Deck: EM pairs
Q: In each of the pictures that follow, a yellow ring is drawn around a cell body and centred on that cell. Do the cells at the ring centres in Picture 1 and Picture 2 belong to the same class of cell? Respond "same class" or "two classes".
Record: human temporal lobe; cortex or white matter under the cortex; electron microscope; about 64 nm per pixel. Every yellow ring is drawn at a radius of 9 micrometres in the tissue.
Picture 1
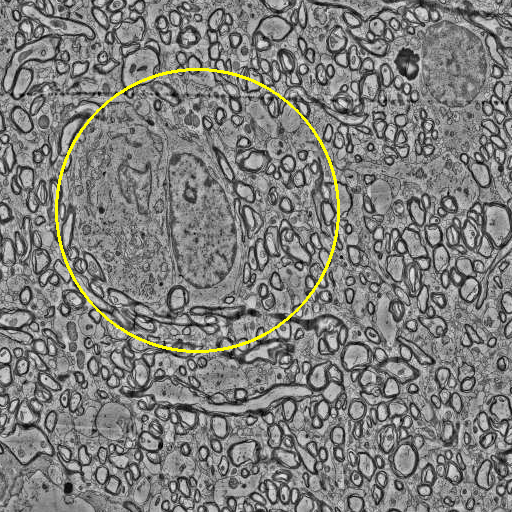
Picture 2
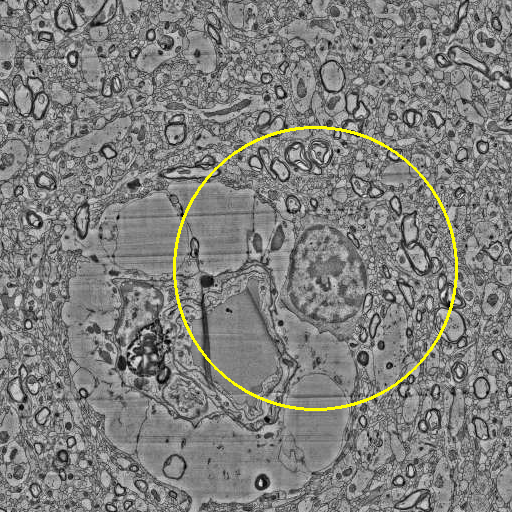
two classes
